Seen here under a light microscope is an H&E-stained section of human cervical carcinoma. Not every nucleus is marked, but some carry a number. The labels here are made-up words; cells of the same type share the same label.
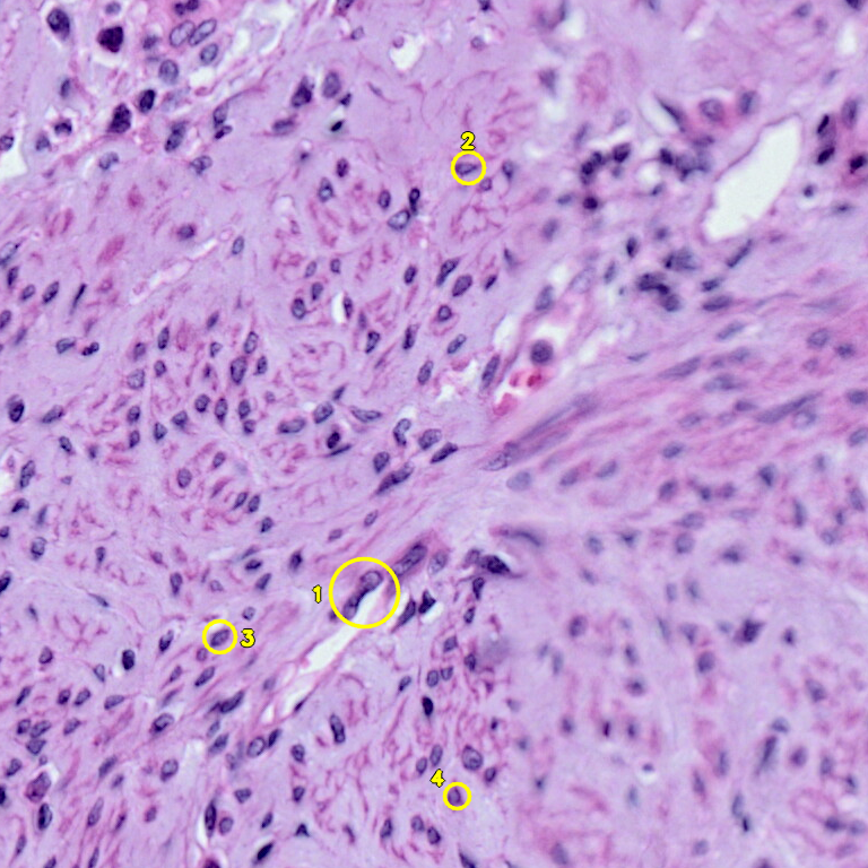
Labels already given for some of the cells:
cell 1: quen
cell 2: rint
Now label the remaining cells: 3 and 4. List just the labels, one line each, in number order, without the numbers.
rint
rint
